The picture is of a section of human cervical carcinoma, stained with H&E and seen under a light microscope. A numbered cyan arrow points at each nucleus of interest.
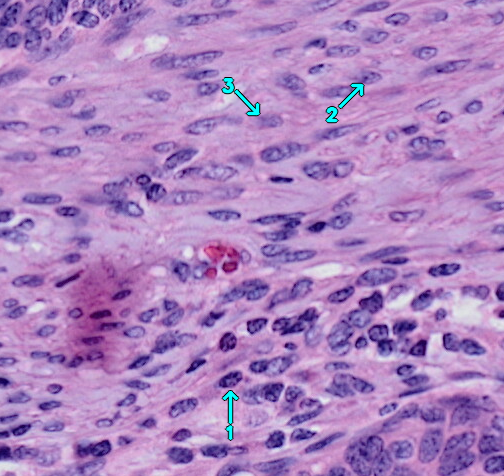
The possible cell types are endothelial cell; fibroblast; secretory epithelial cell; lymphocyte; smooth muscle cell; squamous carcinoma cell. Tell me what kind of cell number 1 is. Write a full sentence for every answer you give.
Within this field of view, the cell labelled 1 is a lymphocyte.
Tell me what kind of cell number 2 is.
The cell tagged with 2 in this tissue section is a smooth muscle cell.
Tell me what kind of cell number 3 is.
Here, the cell given the number 3 is a smooth muscle cell.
